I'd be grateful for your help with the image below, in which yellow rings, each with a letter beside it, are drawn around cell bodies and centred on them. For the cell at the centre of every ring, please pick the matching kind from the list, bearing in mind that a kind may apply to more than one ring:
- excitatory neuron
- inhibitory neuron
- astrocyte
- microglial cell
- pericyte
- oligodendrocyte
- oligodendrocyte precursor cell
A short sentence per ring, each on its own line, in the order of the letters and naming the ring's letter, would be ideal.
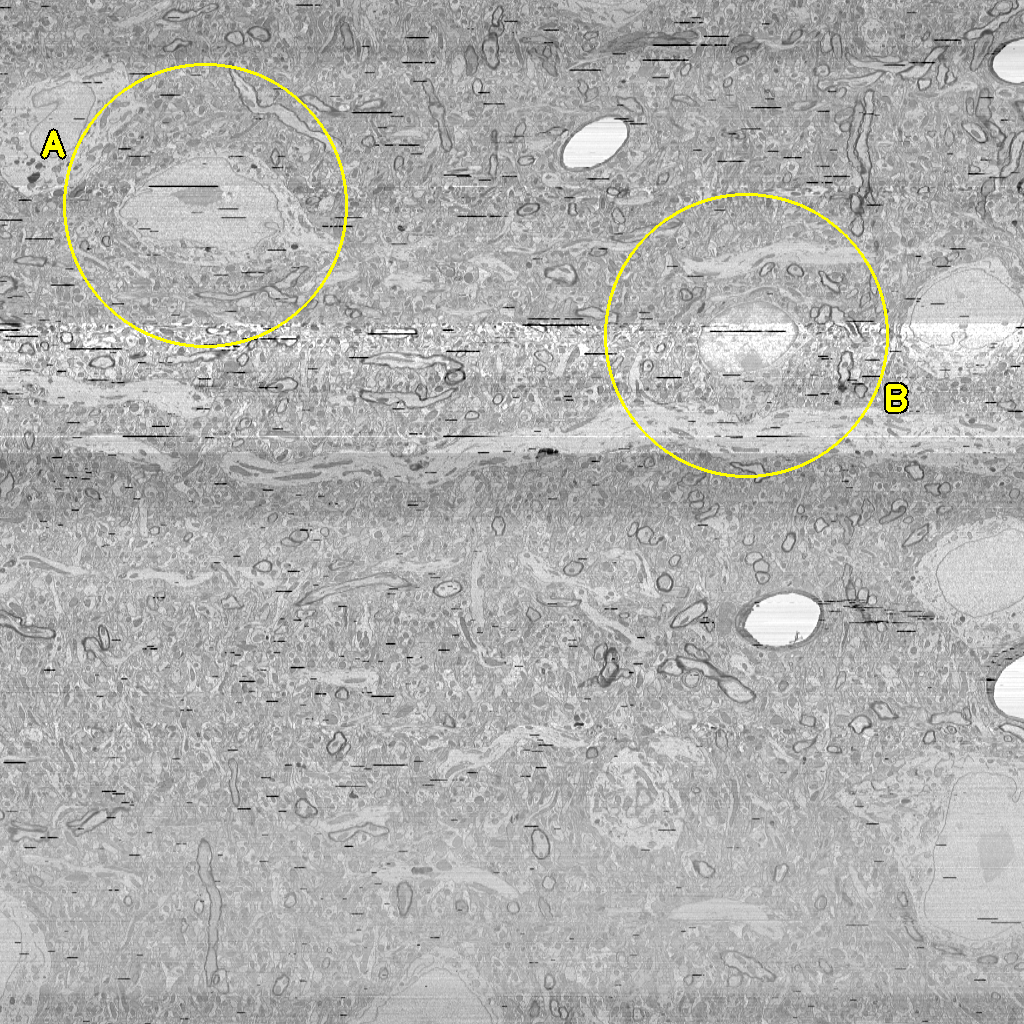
Inside ring A, the central cell is an inhibitory neuron.
Inside ring B, the central cell is an oligodendrocyte.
